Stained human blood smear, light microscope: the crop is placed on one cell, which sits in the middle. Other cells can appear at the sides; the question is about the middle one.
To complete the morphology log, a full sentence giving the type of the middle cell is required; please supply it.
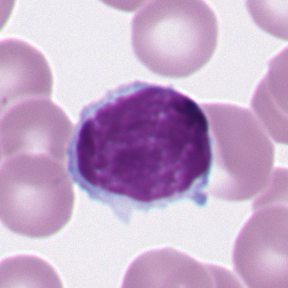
The central cell, amid any neighbouring cells, is a typical lymphocyte.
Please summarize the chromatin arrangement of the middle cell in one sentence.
The nucleus shows chromatin that is coarsely clumped.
